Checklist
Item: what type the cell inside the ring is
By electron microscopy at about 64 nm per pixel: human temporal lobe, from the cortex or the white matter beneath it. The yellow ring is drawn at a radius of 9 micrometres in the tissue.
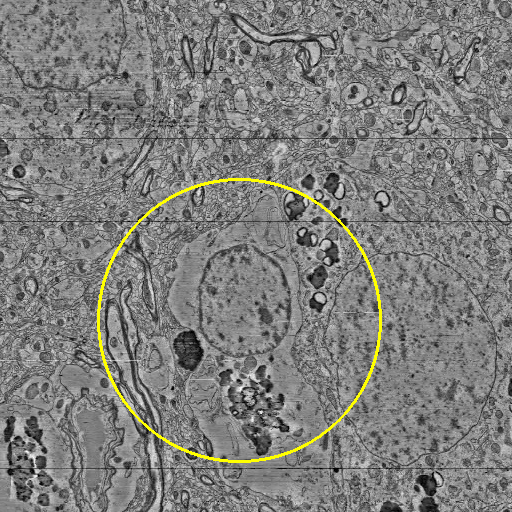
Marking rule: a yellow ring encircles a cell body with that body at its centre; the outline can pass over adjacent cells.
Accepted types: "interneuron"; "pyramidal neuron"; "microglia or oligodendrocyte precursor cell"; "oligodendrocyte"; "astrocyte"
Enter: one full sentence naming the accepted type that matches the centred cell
The entry is that an astrocyte lies at the centre of the yellow ring.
